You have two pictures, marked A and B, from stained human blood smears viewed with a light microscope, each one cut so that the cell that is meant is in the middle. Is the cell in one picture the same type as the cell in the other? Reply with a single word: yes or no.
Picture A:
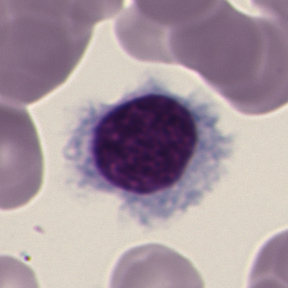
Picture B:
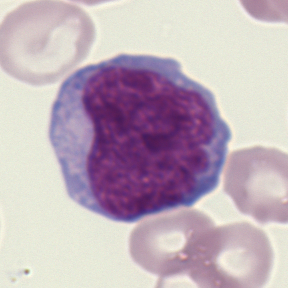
no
